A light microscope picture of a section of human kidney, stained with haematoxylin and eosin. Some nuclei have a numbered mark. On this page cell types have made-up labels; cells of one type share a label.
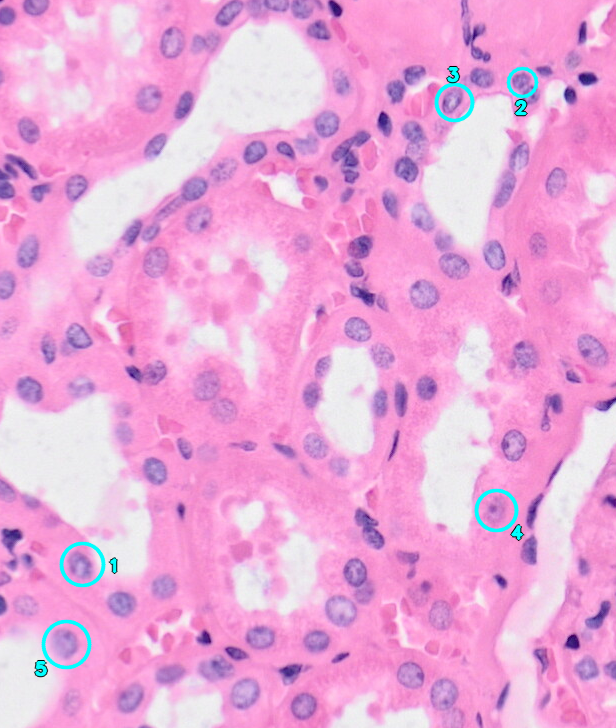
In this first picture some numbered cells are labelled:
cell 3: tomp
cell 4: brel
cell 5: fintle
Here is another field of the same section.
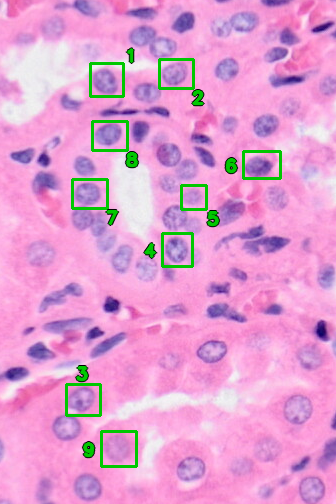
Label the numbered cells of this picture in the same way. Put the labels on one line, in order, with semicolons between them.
fintle; fintle; brel; tomp; tomp; fintle; tomp; tomp; brel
